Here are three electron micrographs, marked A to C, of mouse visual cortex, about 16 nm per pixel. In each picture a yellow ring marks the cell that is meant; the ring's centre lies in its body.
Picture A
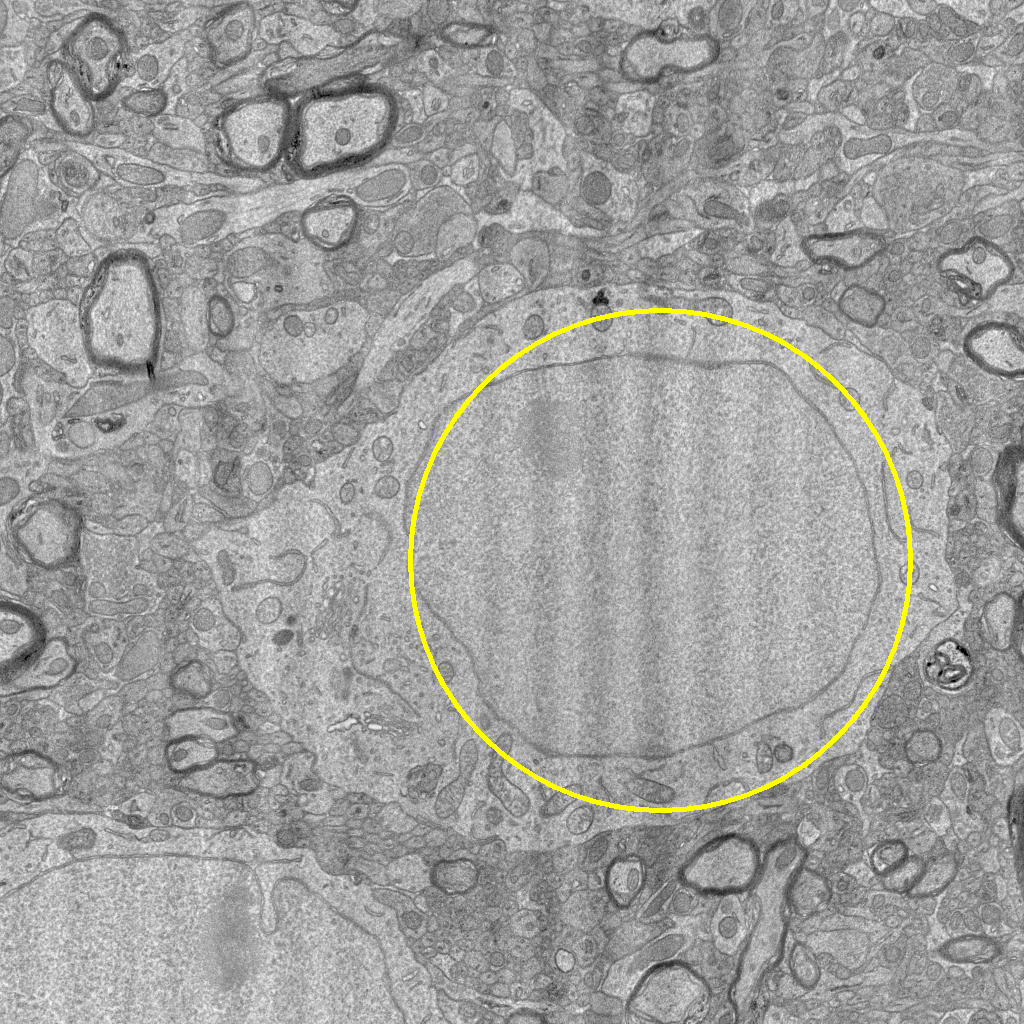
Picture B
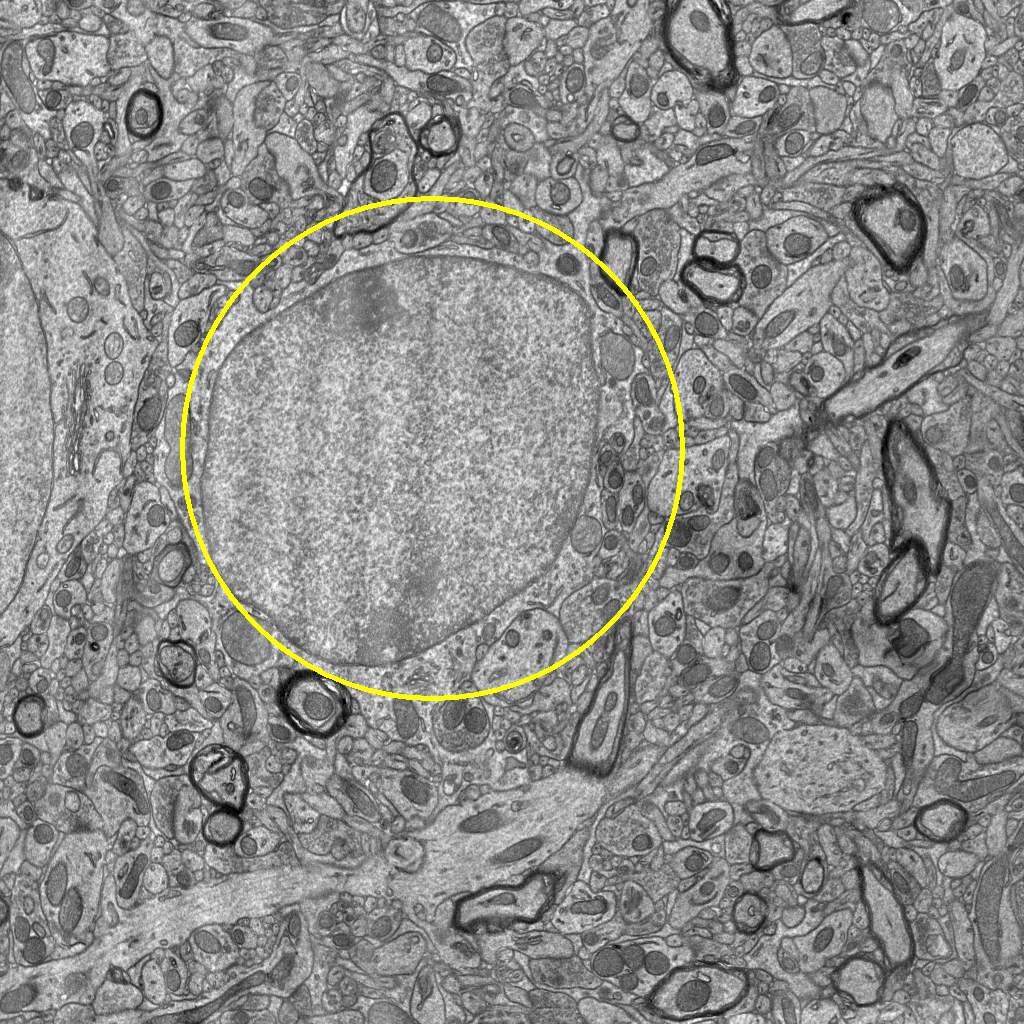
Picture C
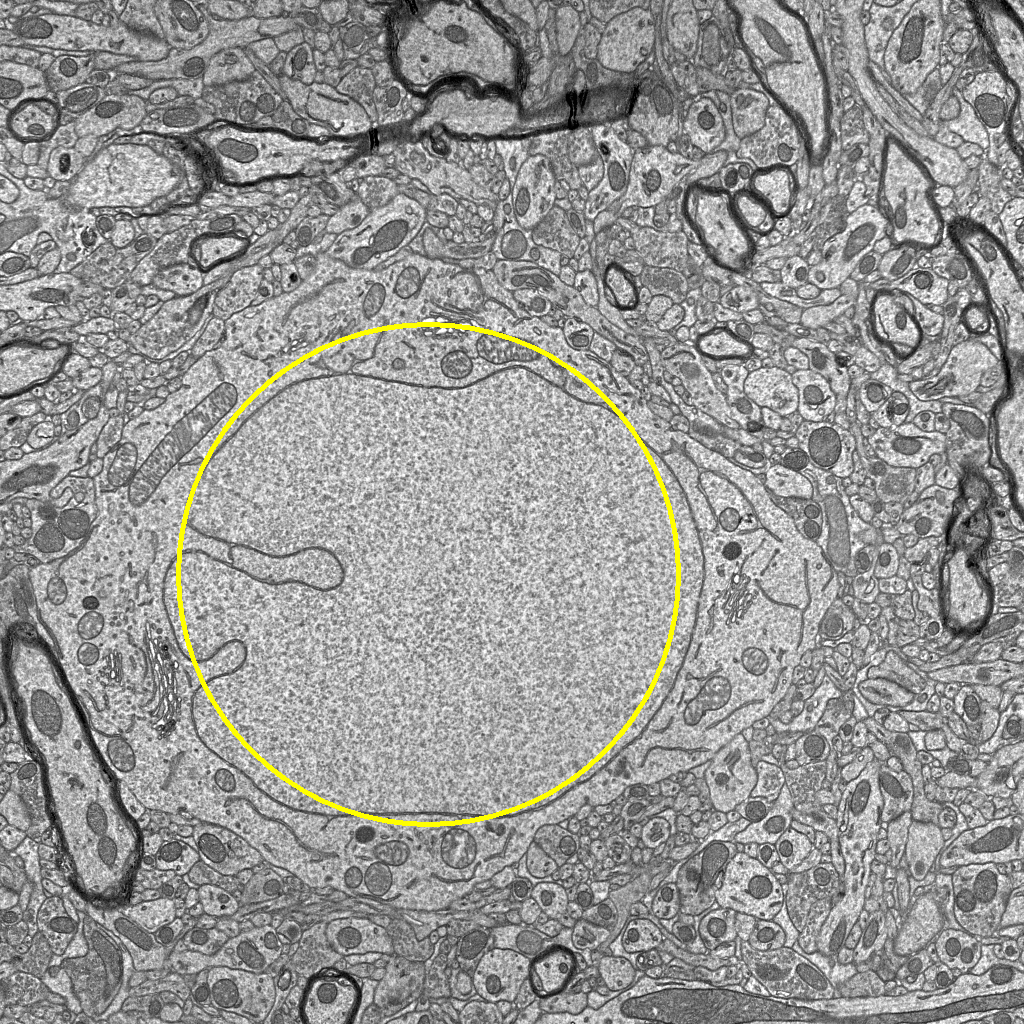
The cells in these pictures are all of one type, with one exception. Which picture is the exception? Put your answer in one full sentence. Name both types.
Unlike the rest, which show excitatory neurons, picture B shows an astrocyte.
